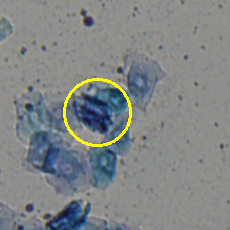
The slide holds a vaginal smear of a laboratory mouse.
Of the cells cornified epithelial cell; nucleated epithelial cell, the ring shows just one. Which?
The ring shows a cornified epithelial cell.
